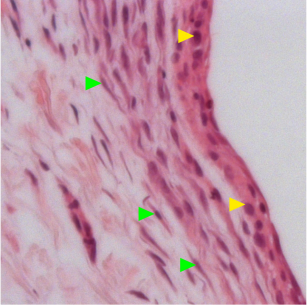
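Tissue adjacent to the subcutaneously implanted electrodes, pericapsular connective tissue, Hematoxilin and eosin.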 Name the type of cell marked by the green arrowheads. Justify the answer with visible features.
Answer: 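Fibroblasts. The marked cells have elongated, spindle-shaped nuclei. They lie parallel to the pink collagen fibres.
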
